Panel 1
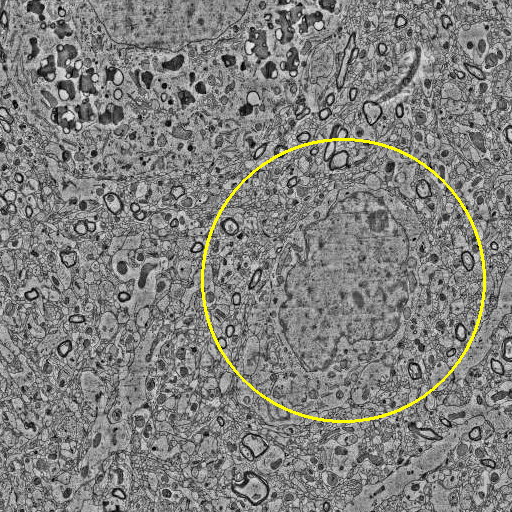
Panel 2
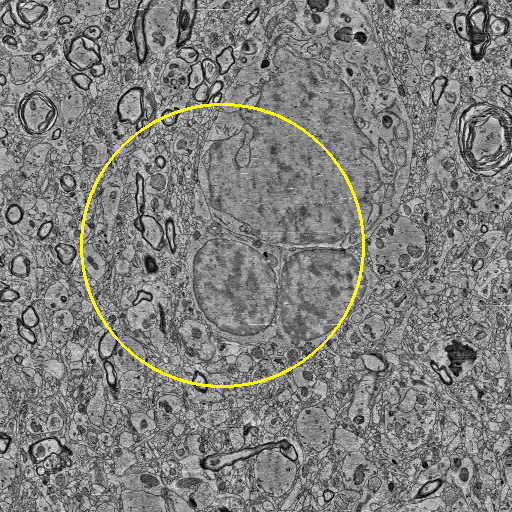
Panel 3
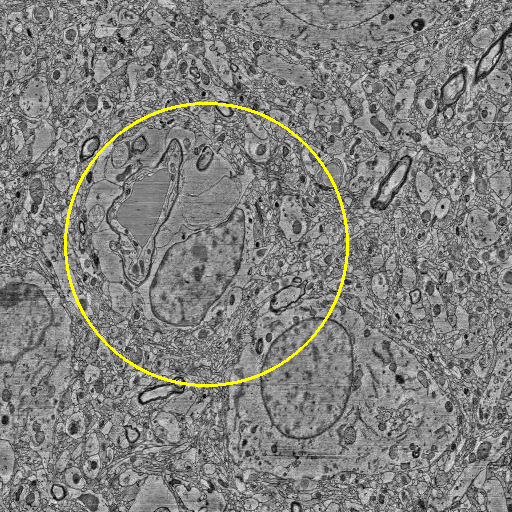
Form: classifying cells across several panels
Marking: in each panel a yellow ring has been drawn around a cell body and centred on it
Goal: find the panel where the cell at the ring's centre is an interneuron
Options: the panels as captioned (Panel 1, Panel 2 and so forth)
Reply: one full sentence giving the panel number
Panel 1 shows the wanted cell at the centre of its ring.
